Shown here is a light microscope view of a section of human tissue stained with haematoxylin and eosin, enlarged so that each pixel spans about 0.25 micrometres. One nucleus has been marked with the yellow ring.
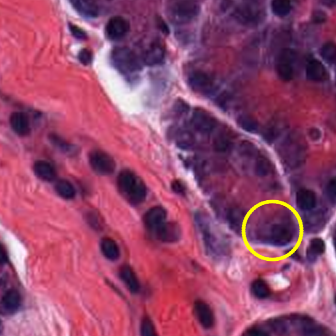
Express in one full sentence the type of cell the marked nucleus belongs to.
In this picture, the marked nucleus belongs to a pancreatic acinar cell.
